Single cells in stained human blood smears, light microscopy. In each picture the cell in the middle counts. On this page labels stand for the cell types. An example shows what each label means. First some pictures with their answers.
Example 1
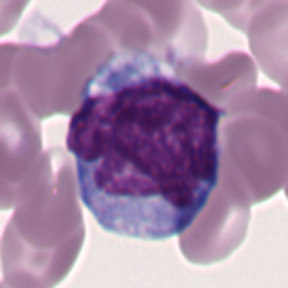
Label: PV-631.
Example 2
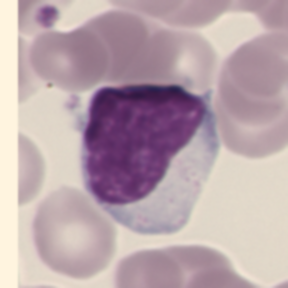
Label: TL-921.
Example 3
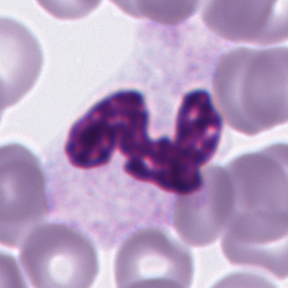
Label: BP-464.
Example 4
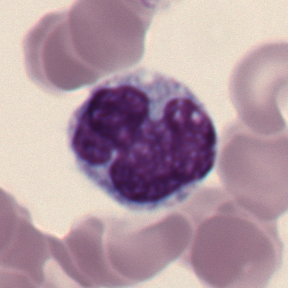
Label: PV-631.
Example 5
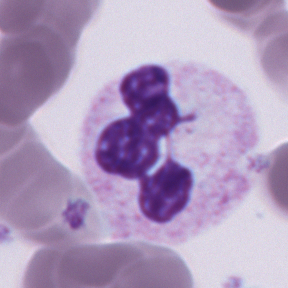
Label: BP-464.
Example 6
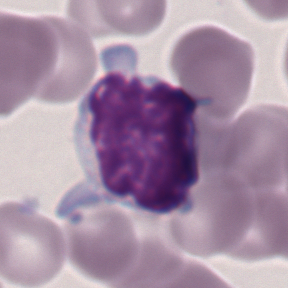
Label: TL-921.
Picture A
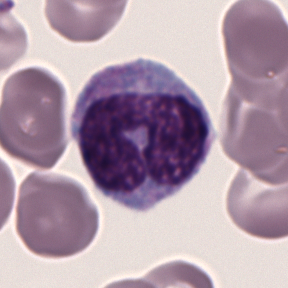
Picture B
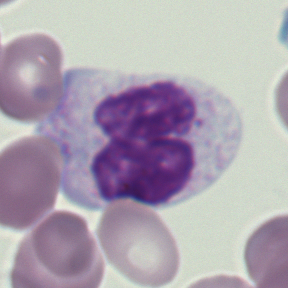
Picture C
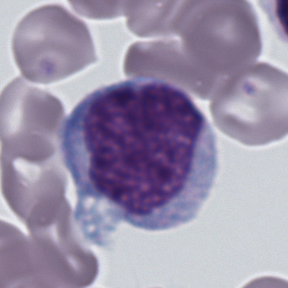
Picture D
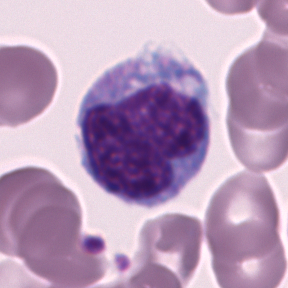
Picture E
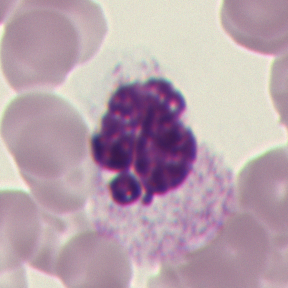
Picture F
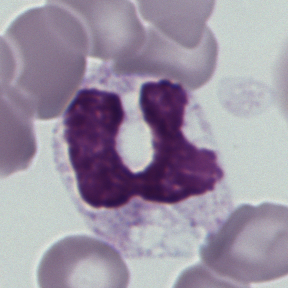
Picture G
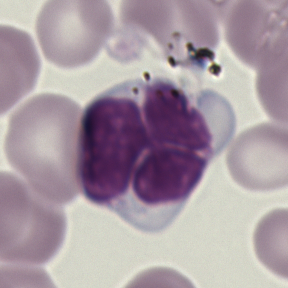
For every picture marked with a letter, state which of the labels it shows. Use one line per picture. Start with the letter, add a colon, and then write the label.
A: PV-631.
B: BP-464.
C: PV-631.
D: PV-631.
E: BP-464.
F: BP-464.
G: TL-921.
